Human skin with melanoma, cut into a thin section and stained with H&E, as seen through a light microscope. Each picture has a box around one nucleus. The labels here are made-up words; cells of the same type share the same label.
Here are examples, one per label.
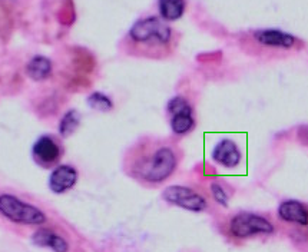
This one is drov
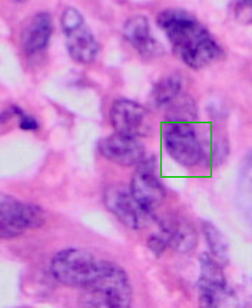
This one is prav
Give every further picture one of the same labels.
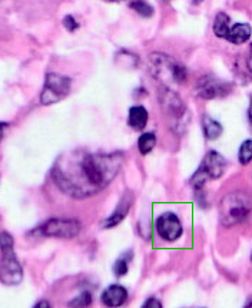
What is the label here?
drov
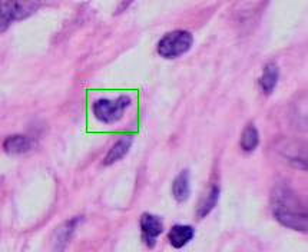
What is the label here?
drov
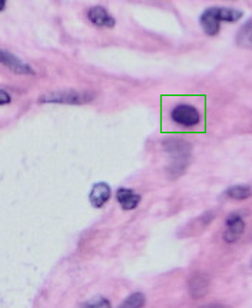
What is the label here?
drov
